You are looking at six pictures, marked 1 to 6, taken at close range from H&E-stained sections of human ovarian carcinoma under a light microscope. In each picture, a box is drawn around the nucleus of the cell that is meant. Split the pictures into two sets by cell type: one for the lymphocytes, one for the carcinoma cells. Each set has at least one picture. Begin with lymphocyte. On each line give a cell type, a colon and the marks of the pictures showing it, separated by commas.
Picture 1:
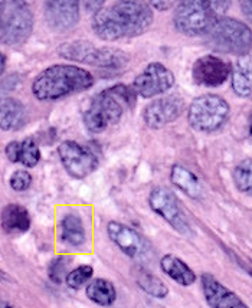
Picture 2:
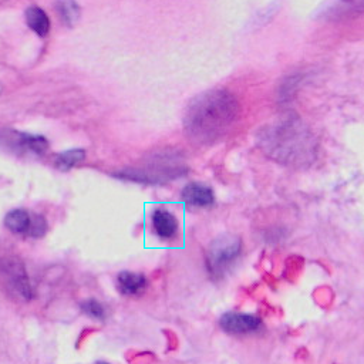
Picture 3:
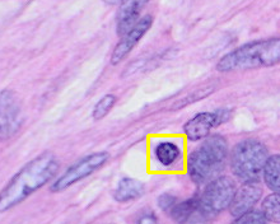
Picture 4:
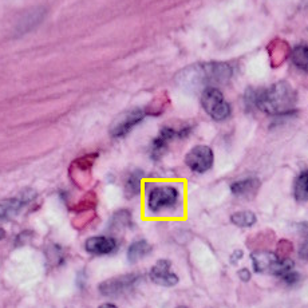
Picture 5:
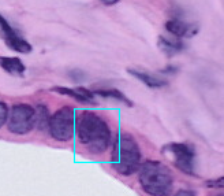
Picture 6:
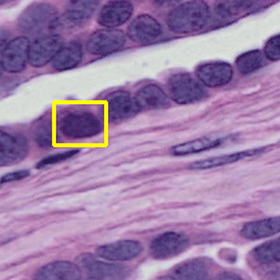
lymphocyte: 1, 2, 3, 4
carcinoma cell: 5, 6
